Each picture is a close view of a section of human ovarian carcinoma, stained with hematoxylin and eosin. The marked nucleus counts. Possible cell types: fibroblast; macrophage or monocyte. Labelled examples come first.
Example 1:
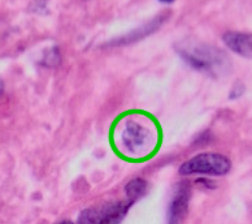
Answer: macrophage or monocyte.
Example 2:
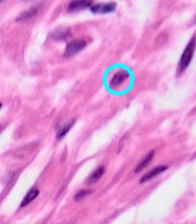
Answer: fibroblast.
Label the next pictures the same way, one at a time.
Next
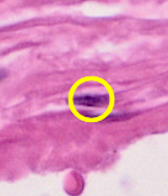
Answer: fibroblast.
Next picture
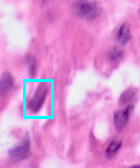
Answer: fibroblast.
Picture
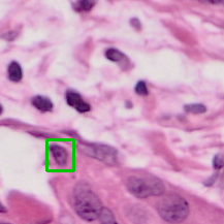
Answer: macrophage or monocyte.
